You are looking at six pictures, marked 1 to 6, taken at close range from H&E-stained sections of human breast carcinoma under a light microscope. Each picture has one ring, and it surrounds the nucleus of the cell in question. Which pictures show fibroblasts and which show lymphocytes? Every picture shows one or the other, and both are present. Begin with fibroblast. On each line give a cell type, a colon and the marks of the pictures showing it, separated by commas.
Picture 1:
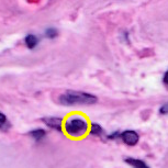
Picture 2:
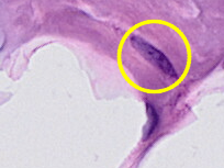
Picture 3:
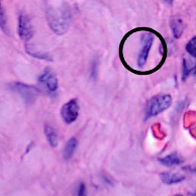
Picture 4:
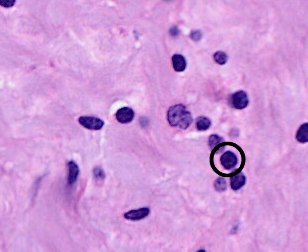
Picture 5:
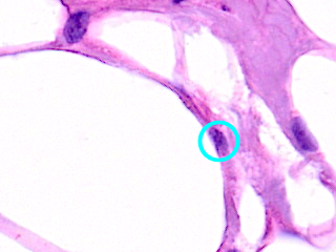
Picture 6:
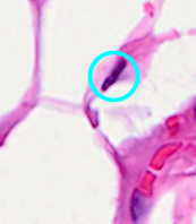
fibroblast: 2, 3, 5, 6
lymphocyte: 1, 4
